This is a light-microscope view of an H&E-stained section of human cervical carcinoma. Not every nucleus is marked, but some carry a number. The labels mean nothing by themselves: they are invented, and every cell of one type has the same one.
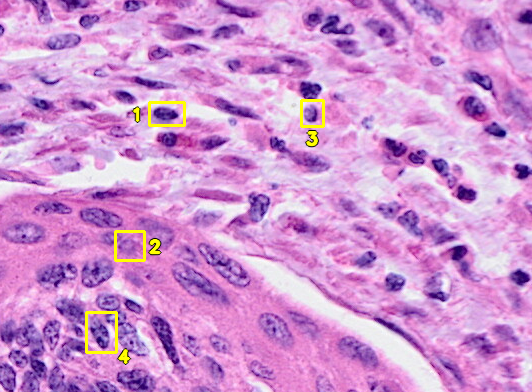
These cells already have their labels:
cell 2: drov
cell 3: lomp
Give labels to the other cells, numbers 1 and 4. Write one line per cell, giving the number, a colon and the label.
1: lomp
4: drov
